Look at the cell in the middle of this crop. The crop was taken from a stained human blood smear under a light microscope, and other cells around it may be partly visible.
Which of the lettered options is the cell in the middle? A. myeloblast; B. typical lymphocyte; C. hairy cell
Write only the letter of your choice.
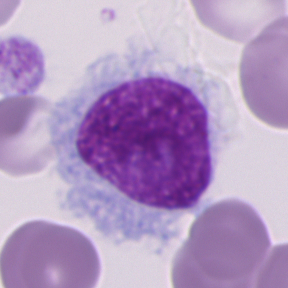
C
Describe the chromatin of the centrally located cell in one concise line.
The chromatin is delicate and fine, lacking coarse clumping entirely.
